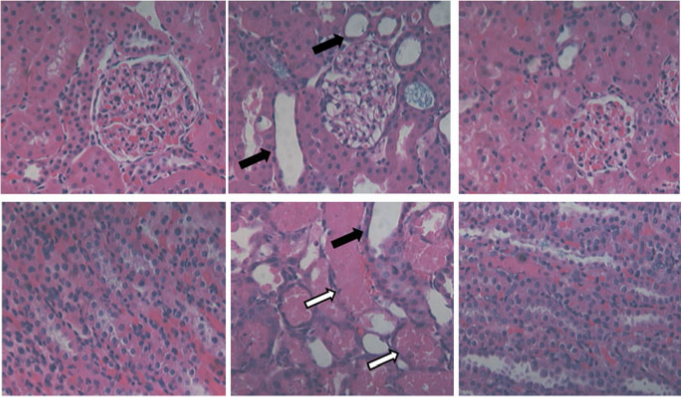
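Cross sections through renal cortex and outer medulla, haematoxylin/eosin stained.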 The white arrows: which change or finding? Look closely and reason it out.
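Necrotic cellular debris. The white arrows point at tubule lumens filled with granular pink material. Few intact nuclei lie within this material.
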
